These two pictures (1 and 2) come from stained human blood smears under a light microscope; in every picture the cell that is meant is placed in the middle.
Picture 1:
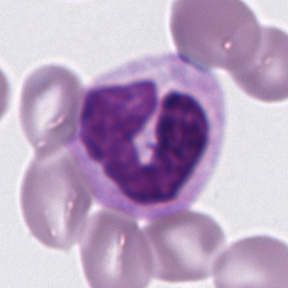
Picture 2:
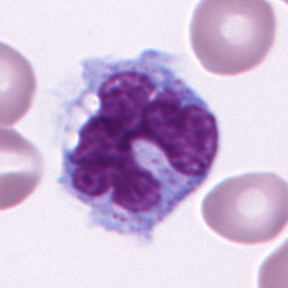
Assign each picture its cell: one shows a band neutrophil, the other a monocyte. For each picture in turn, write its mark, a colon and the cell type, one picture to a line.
1: band neutrophil
2: monocyte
